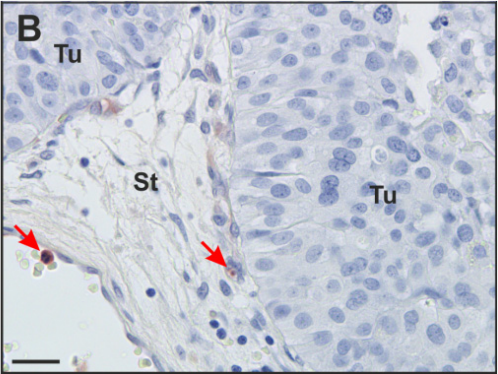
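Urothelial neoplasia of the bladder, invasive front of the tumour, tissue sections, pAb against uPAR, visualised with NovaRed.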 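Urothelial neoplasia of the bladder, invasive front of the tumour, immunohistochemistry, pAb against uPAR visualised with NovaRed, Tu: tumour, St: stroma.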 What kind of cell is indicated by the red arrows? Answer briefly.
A: Neutrophils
